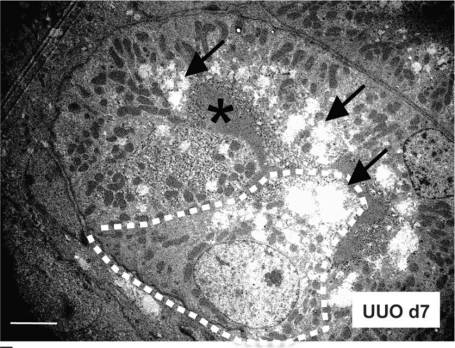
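This electron micrograph shows a cross-section of a proximal tubule, with epithelial cells arranged in a ring around a narrowed central lumen. The cytoplasm is densely packed with dark, elongated mitochondria. Many large, pale, empty-looking vacuoles are present in the apical cytoplasm toward the tubule's centre. One cell, outlined by a dashed line, is markedly enlarged, with a large pale nucleus and a prominent nucleolus. This enlarged cell bulges toward the lumen. The overall picture is of swollen, vacuolated tubular epithelium.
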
